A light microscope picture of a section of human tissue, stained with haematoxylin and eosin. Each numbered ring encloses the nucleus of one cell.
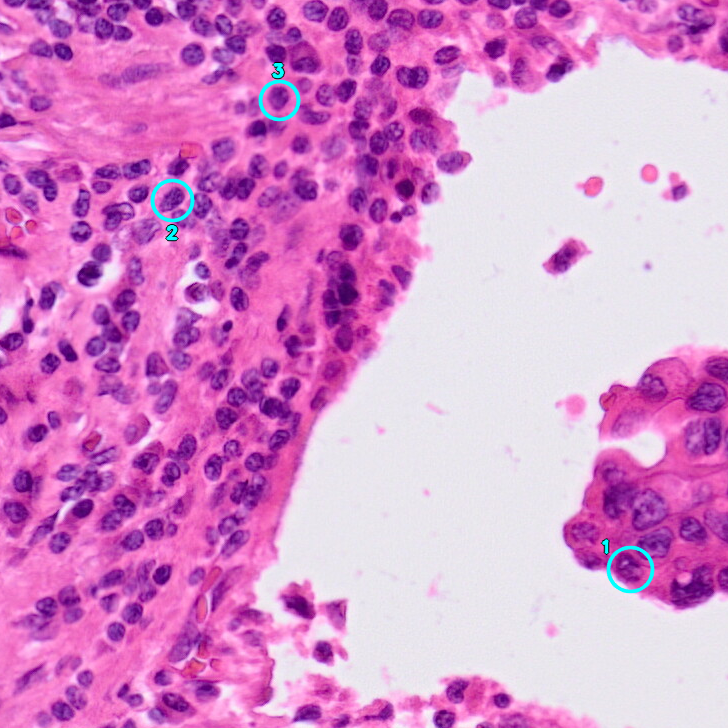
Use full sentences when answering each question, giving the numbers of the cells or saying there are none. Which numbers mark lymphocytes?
The cells which carry the numbers 2 and 3 are lymphocytes.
